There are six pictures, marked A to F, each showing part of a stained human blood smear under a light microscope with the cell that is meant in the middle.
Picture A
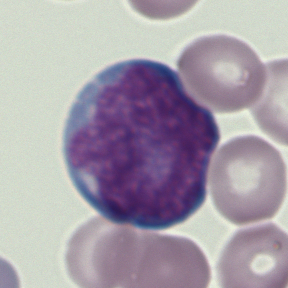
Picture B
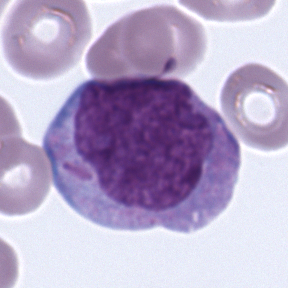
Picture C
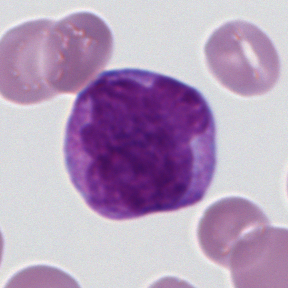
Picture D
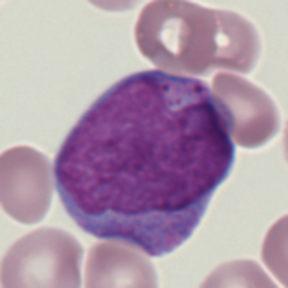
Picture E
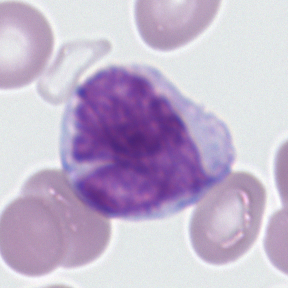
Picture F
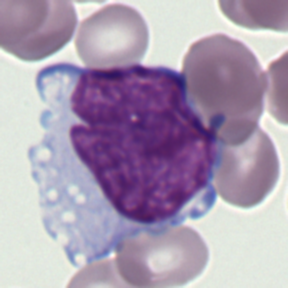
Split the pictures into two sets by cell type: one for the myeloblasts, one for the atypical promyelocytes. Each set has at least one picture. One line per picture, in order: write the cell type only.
myeloblast
atypical promyelocyte
atypical promyelocyte
atypical promyelocyte
atypical promyelocyte
myeloblast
